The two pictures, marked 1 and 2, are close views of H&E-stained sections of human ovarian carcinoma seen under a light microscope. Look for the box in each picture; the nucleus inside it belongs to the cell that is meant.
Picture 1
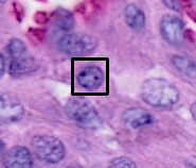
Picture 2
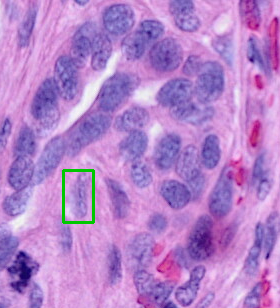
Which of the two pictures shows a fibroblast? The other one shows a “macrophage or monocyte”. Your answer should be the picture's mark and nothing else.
2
